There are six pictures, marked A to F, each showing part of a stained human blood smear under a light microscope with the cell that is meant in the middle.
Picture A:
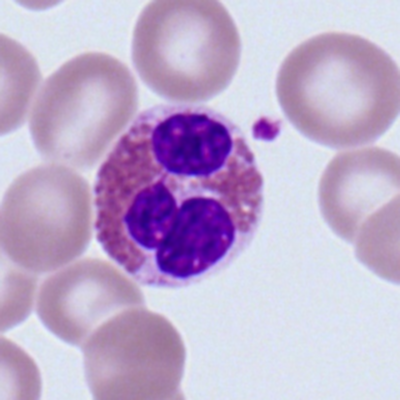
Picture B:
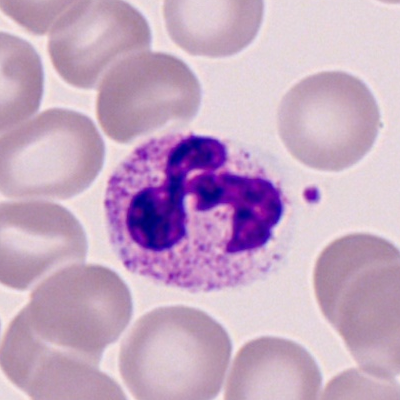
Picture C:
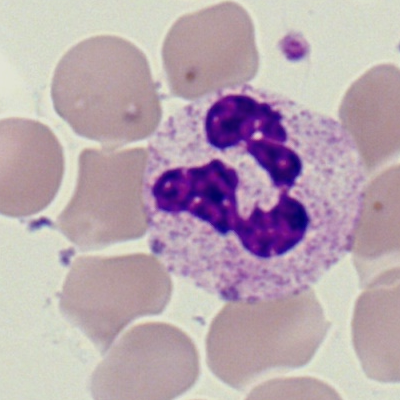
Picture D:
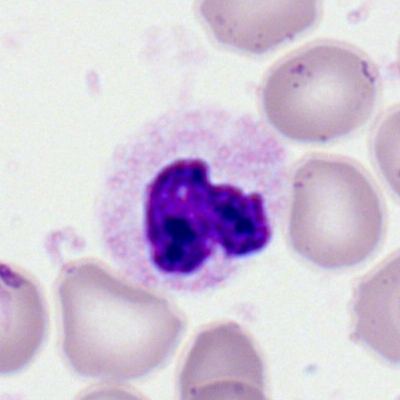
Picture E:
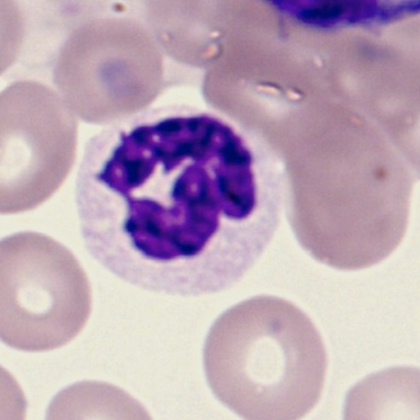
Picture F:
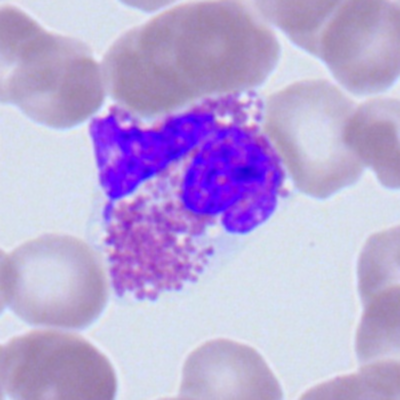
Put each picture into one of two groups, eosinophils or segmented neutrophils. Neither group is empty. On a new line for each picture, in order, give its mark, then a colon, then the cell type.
A: eosinophil
B: segmented neutrophil
C: segmented neutrophil
D: segmented neutrophil
E: segmented neutrophil
F: eosinophil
